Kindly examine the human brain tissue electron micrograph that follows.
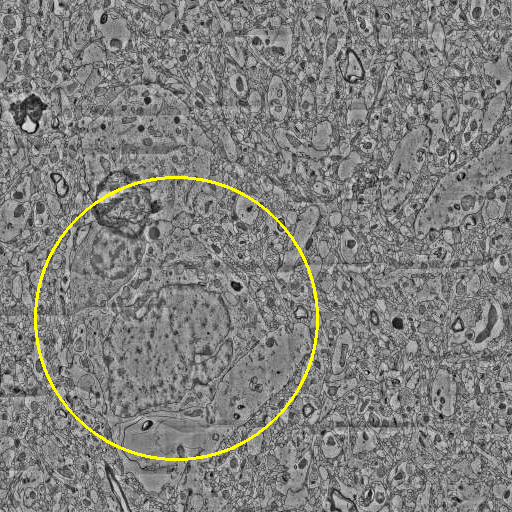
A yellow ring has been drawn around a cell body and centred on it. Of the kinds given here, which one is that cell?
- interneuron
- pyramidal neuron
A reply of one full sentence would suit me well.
The micrograph's ringed cell, the one at the ring's centre, is an interneuron.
